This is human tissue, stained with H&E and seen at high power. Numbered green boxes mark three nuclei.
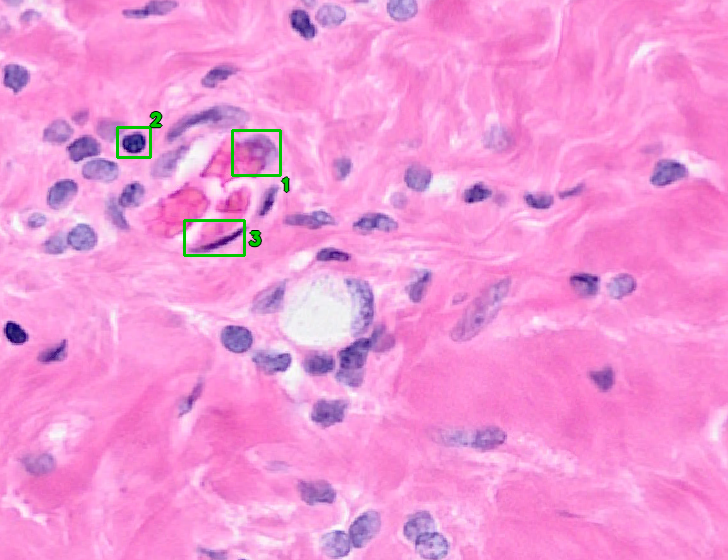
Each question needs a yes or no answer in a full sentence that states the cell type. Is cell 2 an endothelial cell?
No, the cell bearing the number 2 is a lymphocyte, not an endothelial cell.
